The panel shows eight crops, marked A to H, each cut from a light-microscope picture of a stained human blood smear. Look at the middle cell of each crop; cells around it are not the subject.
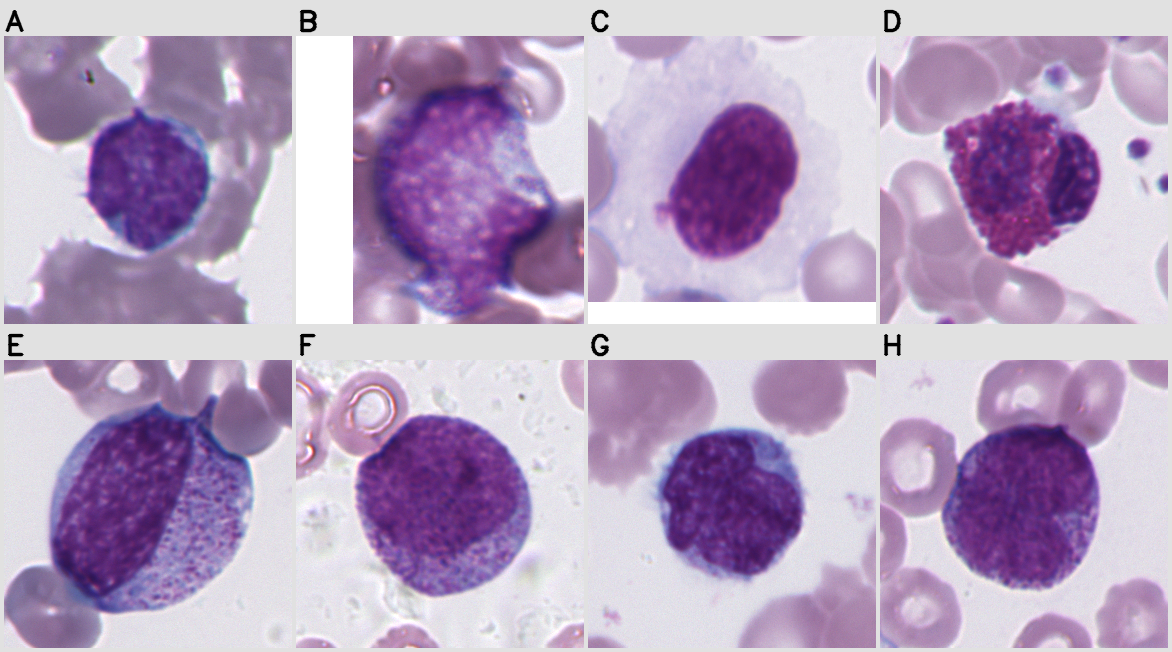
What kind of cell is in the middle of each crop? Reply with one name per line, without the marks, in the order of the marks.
typical lymphocyte
promyelocyte
hairy cell
eosinophil
promyelocyte
promyelocyte
monocyte
promyelocyte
